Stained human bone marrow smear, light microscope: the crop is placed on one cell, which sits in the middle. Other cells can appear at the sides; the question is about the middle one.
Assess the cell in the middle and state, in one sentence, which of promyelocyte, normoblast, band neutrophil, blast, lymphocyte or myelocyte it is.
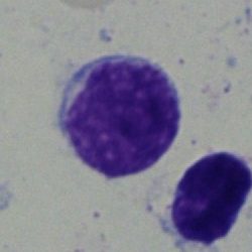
In the middle of this smear crop is a lymphocyte.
